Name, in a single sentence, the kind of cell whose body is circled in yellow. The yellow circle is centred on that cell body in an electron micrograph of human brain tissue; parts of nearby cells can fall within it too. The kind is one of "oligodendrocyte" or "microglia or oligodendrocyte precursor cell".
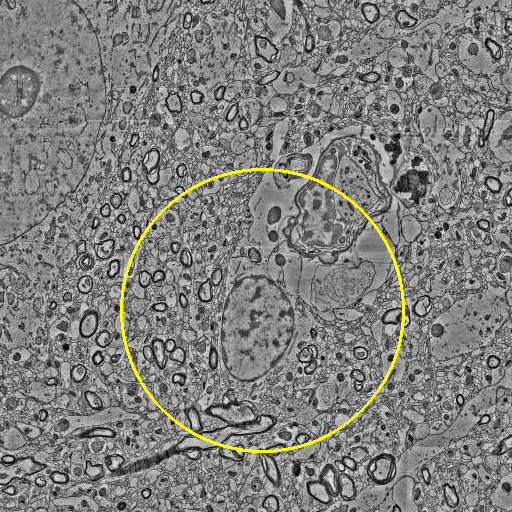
The circled cell body belongs to a microglial cell or oligodendrocyte precursor cell.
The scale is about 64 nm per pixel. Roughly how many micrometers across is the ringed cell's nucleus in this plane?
In this plane the nucleus spans approximately 7 by 5 micrometers.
